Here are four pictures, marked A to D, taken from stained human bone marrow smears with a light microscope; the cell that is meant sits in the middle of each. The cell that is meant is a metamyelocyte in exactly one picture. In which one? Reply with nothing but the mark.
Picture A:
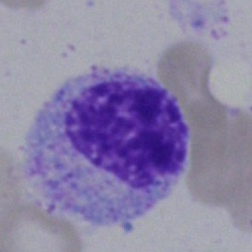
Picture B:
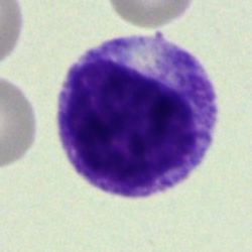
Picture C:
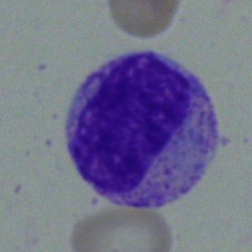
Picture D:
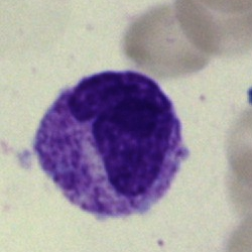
D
